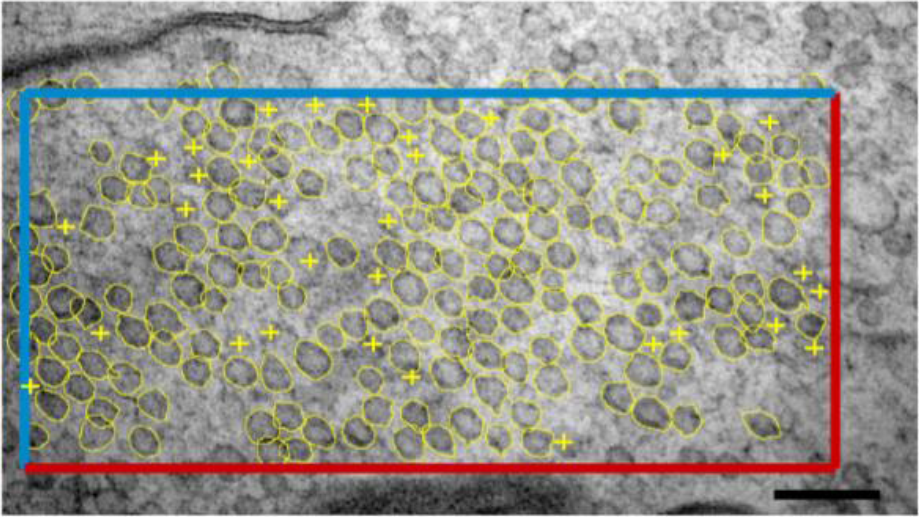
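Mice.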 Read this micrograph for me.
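At very high magnification this electron micrograph shows a dense crowd of small round vesicles, most traced with thin yellow lines. The vesicles are nearly all the same small size and each has a slightly darker rim around a grey interior. At the upper left, dark parallel lines of membrane run across the image beyond the packed vesicles.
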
